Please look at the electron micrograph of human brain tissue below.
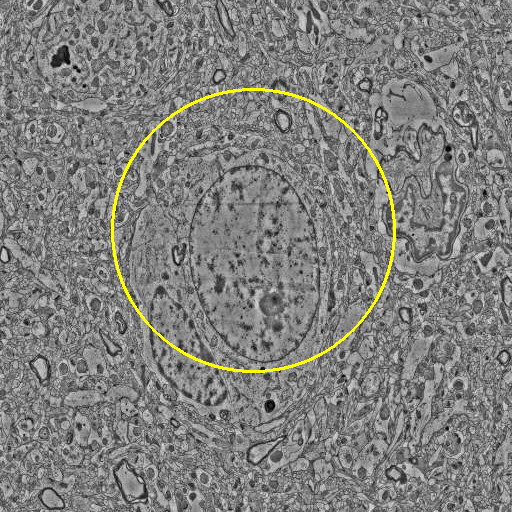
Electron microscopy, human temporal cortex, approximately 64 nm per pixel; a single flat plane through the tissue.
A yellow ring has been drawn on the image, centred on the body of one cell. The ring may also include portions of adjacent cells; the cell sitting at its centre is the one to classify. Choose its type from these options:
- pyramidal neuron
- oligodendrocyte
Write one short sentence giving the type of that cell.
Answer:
The cell in the middle of the ring is a pyramidal neuron.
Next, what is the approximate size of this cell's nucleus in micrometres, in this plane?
In this plane the nucleus spans approximately 13 by 9 micrometers.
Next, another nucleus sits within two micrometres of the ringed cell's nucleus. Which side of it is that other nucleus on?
The second nucleus sits to the lower left of it.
